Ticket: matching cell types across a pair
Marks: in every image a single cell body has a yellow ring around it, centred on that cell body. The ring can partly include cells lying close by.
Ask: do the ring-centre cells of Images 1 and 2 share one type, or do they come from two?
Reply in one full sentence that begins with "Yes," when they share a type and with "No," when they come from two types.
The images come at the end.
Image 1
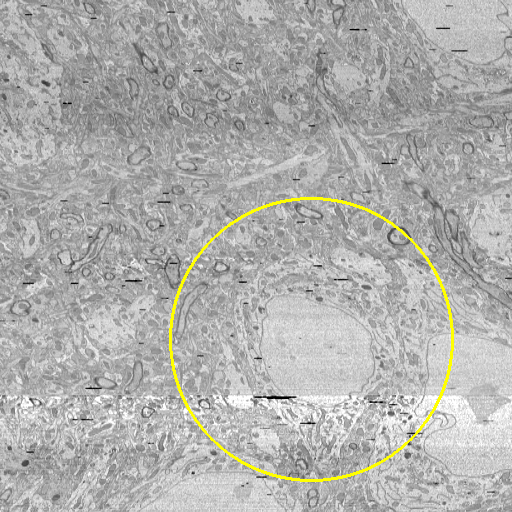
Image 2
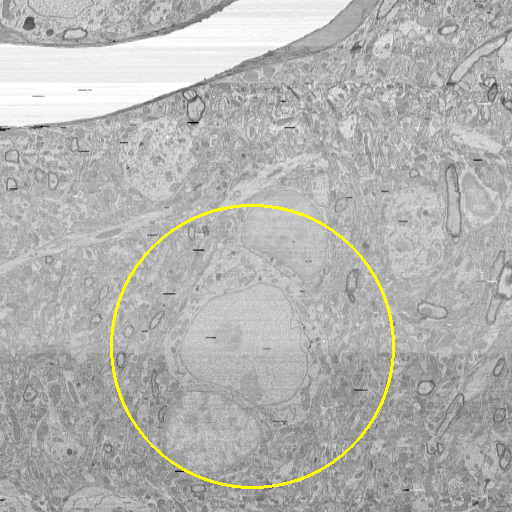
No, the cells in the centres of the rings in Image 1 and Image 2 come from two types.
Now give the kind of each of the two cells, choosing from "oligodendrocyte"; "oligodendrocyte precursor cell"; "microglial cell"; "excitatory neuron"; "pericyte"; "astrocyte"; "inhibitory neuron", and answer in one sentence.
The cell in the first picture is an inhibitory neuron, and the cell in the second is an excitatory neuron.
